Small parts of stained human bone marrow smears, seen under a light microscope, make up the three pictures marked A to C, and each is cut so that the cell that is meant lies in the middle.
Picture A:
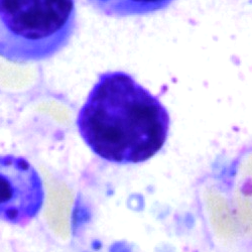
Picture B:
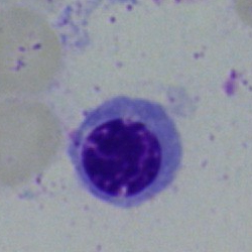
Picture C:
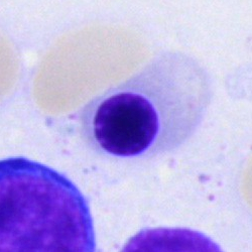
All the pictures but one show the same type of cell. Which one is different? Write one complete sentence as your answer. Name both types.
Picture A differs, because its cell is a lymphocyte and the rest are erythroblasts.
